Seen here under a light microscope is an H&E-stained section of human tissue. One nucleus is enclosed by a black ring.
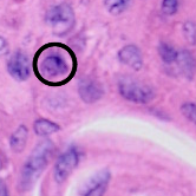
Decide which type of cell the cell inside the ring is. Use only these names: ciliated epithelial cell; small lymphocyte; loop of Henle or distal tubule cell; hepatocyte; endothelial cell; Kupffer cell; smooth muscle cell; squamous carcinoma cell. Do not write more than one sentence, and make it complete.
On this particular slide, the cell inside the ring is a squamous carcinoma cell.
